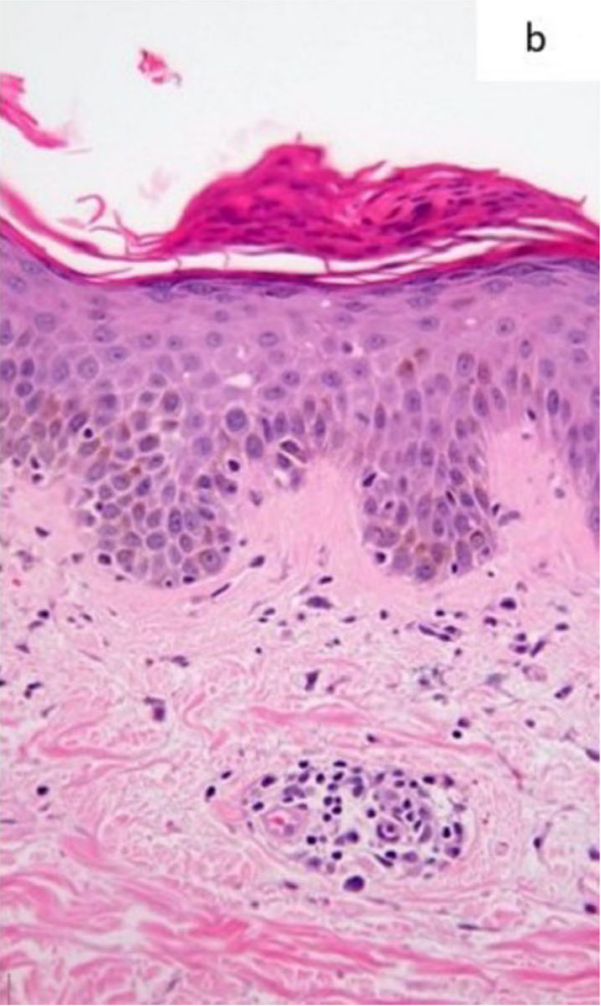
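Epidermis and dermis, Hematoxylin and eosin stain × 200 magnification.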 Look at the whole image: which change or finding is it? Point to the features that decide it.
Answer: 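Focal parakeratosis. The cornified layer on top is thickened and compact in one area. Small dark retained nuclei lie within the thickened cornified layer.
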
